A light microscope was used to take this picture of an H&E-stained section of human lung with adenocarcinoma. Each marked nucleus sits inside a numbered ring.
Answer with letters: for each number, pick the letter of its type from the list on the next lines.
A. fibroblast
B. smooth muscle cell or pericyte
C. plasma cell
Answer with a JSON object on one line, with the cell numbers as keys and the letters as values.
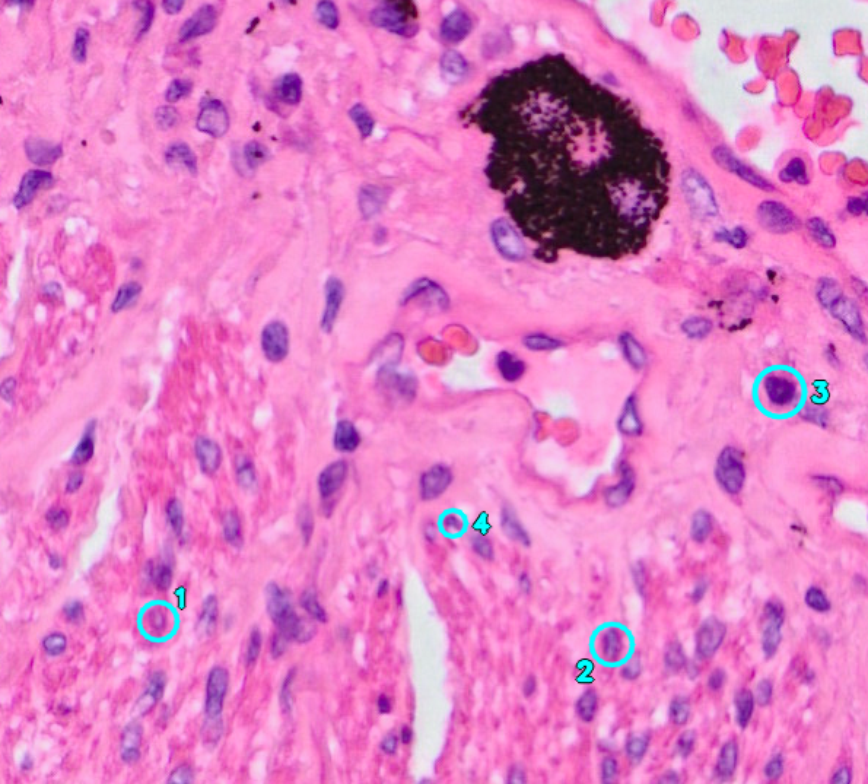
{"1": "B", "2": "B", "3": "C", "4": "B"}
